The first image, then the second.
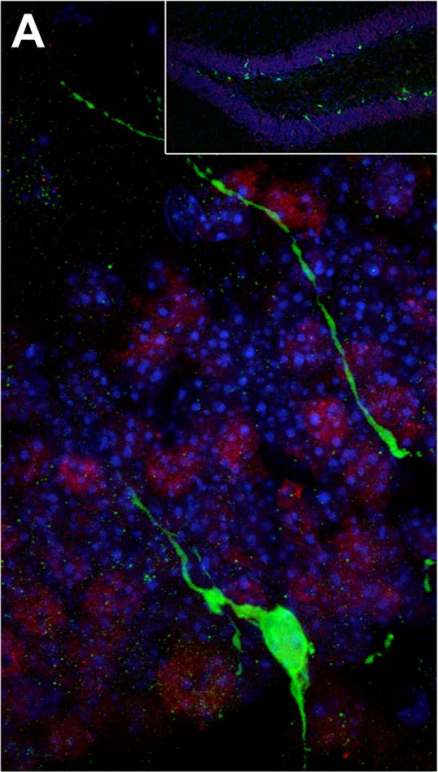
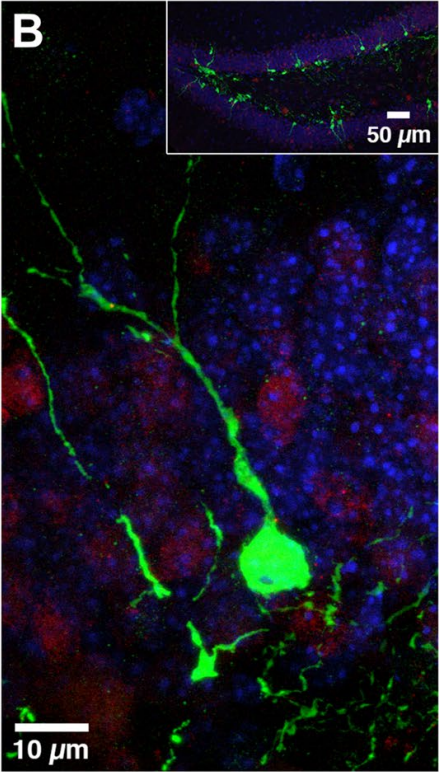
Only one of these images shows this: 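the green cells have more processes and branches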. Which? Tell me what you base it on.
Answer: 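Second image: the green cells send out several processes, with a branching upward process.
Answer: the second image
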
